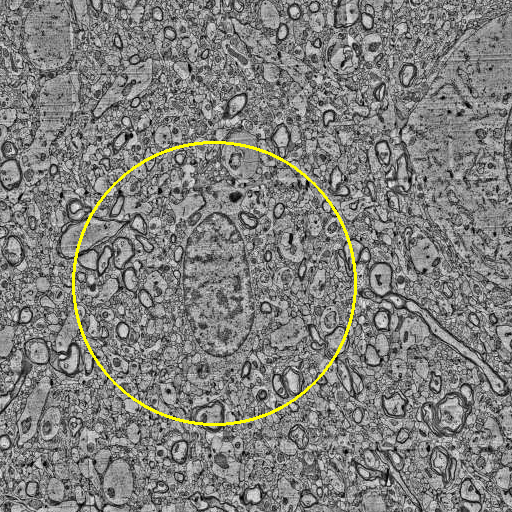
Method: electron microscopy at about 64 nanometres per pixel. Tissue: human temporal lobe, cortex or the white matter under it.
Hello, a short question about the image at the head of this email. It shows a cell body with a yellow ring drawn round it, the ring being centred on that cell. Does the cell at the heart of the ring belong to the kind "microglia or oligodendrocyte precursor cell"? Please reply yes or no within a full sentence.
No, the cell at the heart of the ring in that image is of a different kind.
